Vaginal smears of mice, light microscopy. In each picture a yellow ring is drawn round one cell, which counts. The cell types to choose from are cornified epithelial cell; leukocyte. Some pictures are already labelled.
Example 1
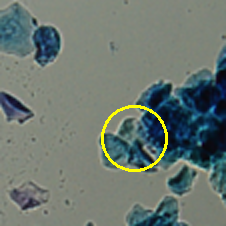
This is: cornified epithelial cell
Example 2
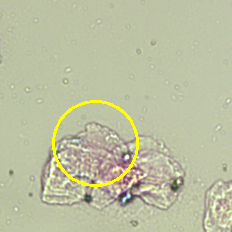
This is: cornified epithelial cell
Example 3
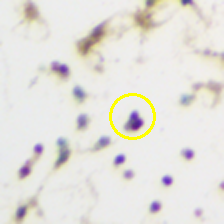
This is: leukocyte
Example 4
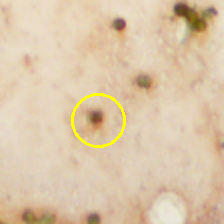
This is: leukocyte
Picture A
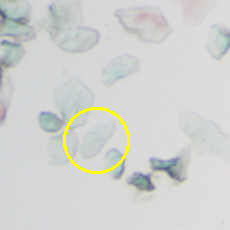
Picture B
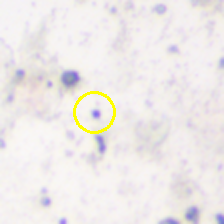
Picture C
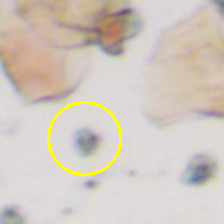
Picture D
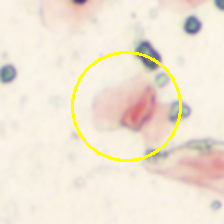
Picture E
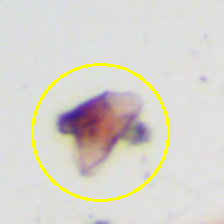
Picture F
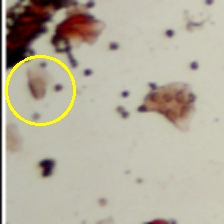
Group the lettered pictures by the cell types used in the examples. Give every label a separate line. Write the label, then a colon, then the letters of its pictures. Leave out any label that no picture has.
cornified epithelial cell: A, D, E, F
leukocyte: B, C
